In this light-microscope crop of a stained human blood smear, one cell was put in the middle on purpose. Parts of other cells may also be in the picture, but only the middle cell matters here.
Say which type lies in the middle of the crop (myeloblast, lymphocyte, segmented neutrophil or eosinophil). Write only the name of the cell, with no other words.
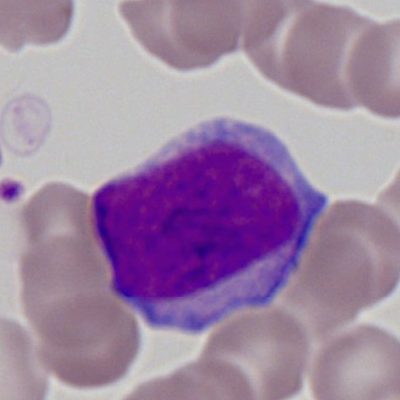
myeloblast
